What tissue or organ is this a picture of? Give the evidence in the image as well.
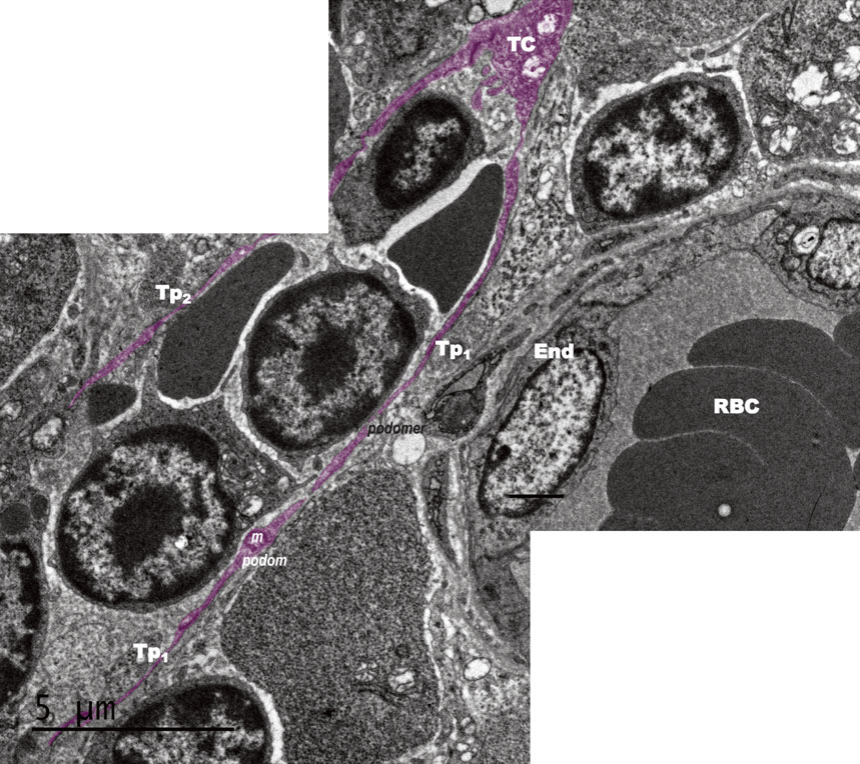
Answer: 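Bone marrow. Many closely packed rounded cells with large nuclei and clumped chromatin fill the field. Several anucleate dense elongated profiles lie among the nucleated cells. A thin-walled vessel containing red cells lies beside the packed cells.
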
